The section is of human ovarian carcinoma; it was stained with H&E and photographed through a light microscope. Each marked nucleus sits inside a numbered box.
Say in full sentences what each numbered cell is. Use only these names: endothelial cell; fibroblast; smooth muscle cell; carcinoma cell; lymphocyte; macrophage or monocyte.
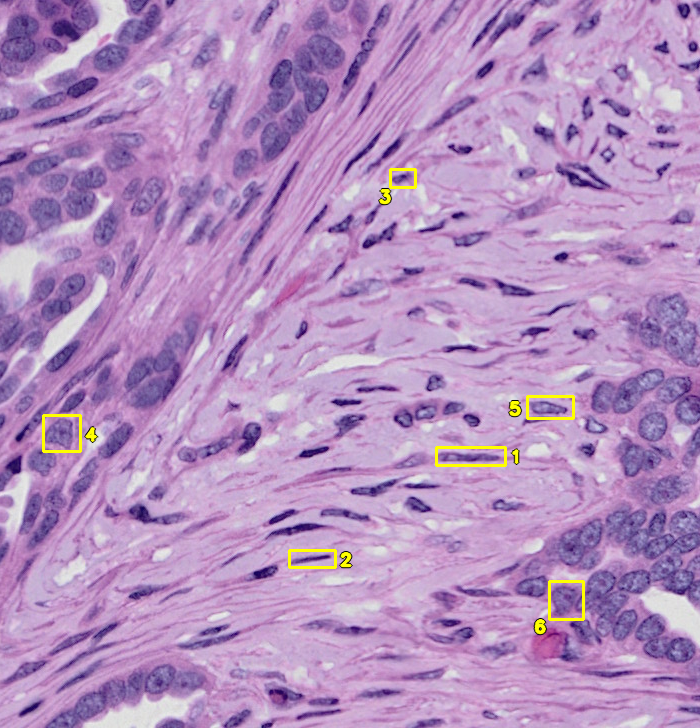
Cell 1 is a fibroblast, cell 2 is a fibroblast, cell 3 is a fibroblast, cell 4 is a carcinoma cell, cell 5 is a fibroblast and cell 6 is a carcinoma cell.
